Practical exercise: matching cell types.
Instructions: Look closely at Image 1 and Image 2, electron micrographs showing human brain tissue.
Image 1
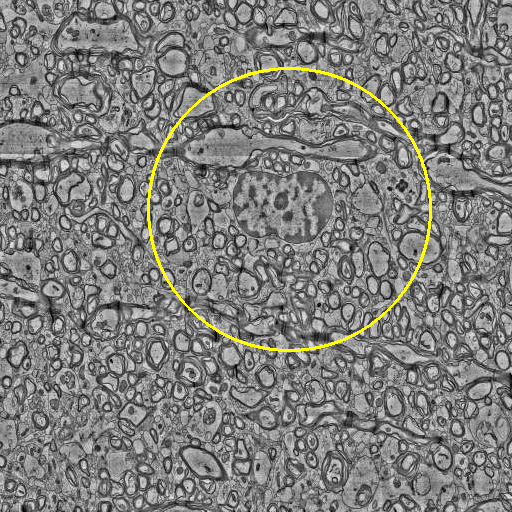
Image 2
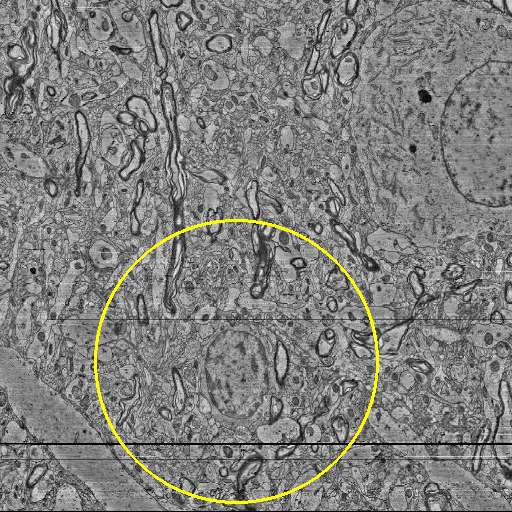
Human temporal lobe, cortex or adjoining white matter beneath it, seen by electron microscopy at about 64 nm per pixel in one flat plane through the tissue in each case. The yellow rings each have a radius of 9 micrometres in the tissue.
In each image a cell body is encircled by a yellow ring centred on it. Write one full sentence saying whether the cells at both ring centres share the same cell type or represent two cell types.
Across Image 1 and Image 2, the cells at the ring centres represent two cell types.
